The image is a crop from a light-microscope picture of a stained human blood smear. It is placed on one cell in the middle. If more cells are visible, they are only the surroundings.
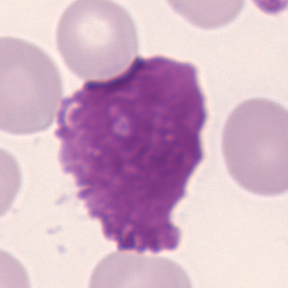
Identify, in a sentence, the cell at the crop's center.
In this smear crop, the middle cell is a smudge cell.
